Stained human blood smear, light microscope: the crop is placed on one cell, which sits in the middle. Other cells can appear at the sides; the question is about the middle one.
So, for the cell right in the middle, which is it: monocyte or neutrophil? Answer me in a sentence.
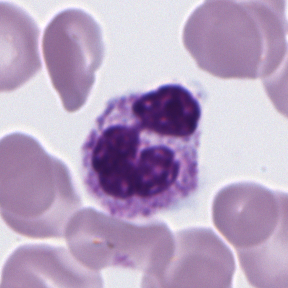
On this slide crop, the central cell is a neutrophil.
